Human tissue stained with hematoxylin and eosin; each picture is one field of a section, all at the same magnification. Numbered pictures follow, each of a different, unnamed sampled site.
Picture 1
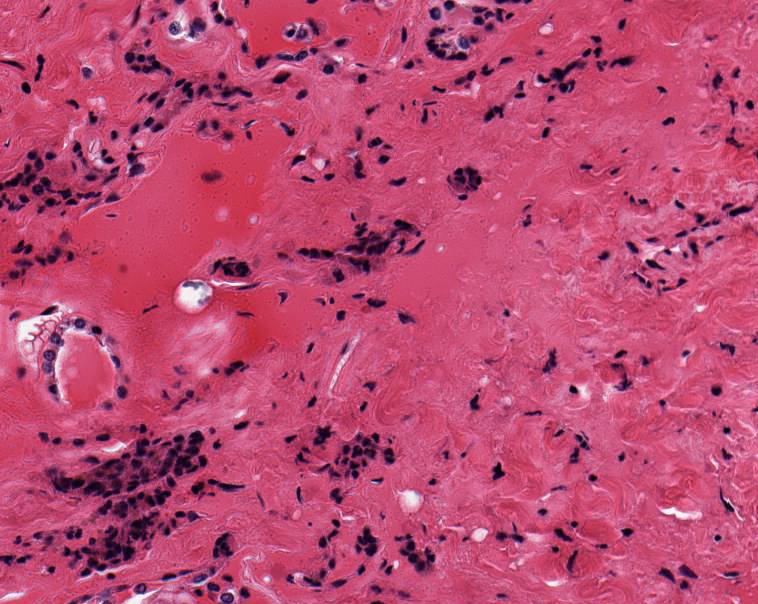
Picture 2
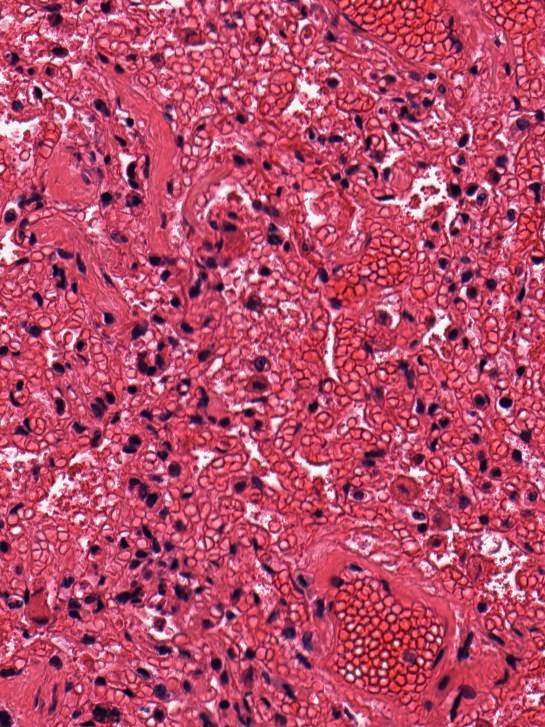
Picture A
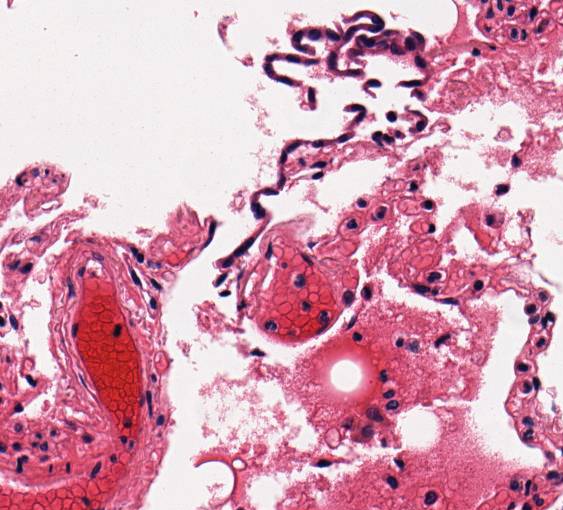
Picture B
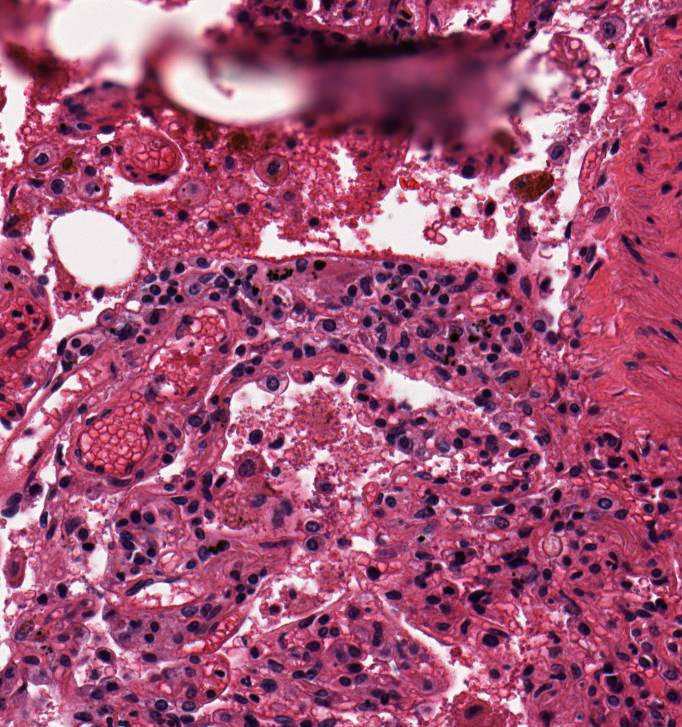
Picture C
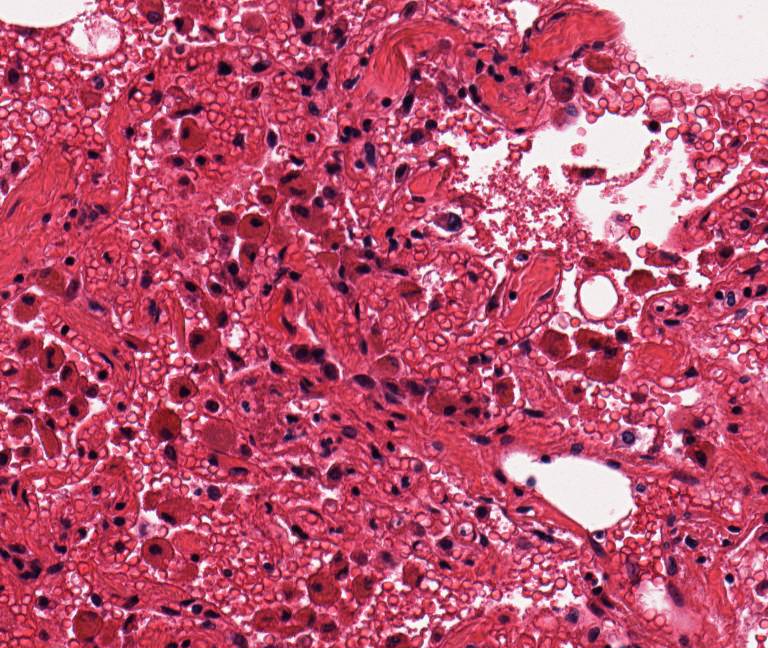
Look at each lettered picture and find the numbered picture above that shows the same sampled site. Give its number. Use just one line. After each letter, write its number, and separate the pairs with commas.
A 2, B 2, C 2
